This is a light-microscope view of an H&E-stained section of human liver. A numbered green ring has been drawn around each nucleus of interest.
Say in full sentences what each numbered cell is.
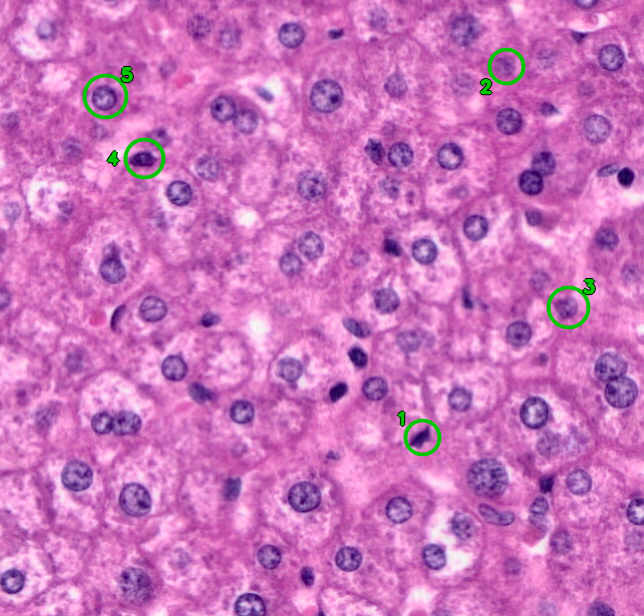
Cells 1 and 4 are fibroblasts or stellate cells. Cells 2 and 5 are hepatocytes. Cell 3 is an endothelial cell.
